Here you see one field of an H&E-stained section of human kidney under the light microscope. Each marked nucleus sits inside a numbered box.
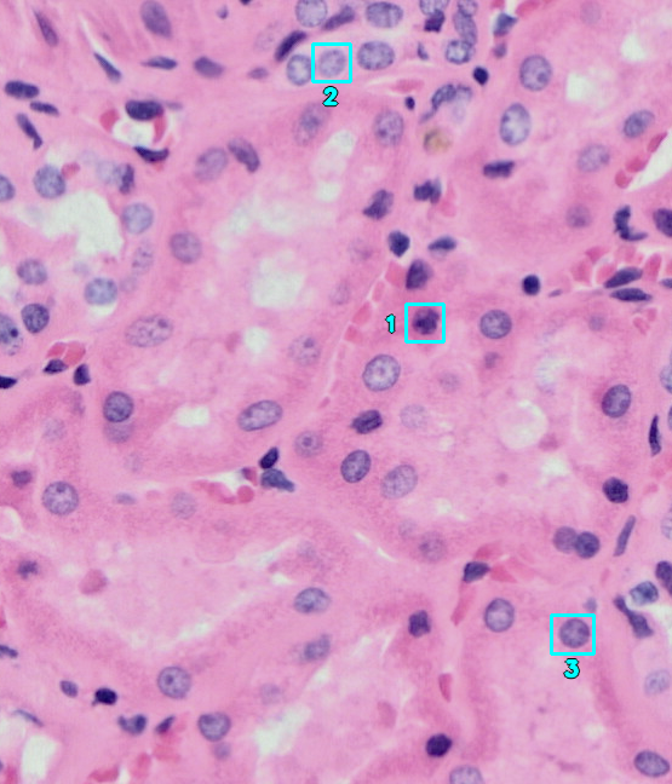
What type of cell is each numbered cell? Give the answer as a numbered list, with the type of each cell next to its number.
1. proximal tubule cell
2. collecting duct cell
3. proximal tubule cell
